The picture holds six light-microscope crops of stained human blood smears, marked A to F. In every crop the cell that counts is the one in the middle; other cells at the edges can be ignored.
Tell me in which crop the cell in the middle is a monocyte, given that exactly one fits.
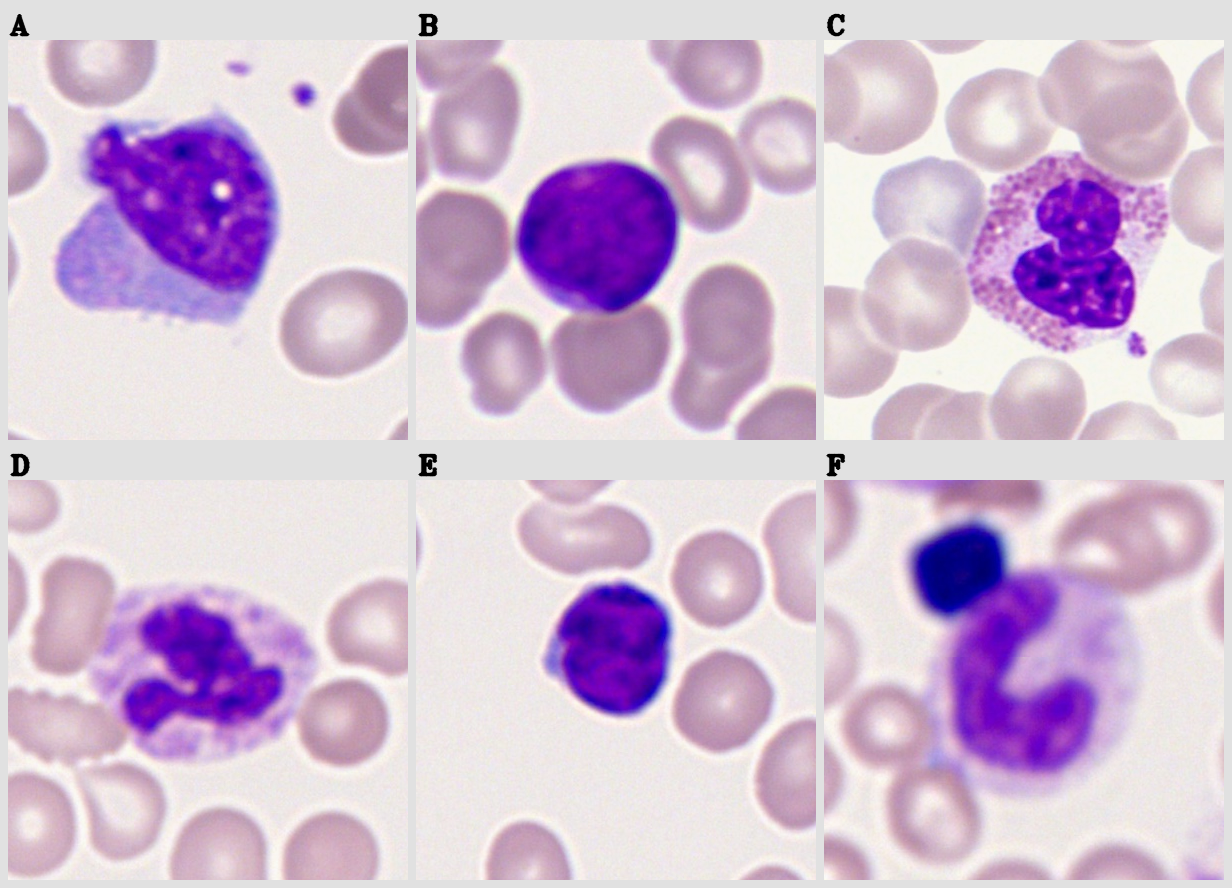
A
